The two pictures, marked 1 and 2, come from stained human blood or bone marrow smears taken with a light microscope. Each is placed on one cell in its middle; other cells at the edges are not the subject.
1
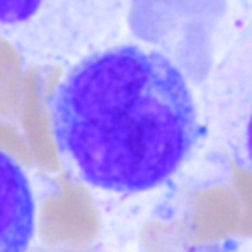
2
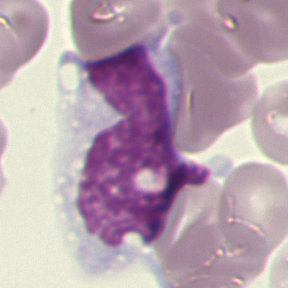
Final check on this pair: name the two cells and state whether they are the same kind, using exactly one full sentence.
Yes, put down monocytes for both crops.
